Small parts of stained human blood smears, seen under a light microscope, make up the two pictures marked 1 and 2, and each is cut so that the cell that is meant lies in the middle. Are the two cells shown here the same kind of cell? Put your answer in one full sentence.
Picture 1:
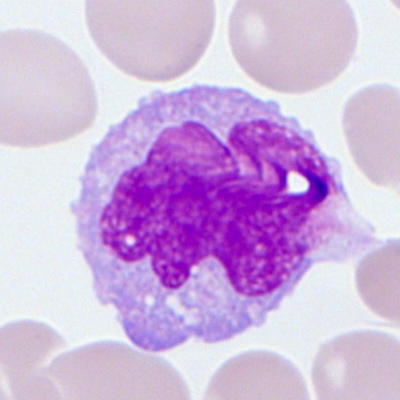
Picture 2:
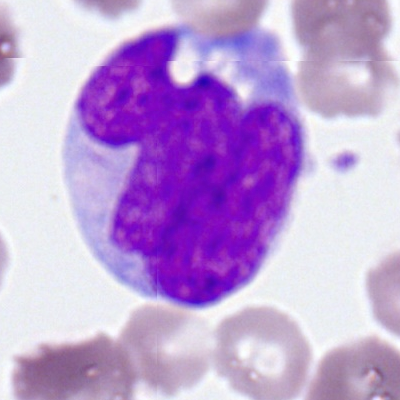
Yes, both are monocytes.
